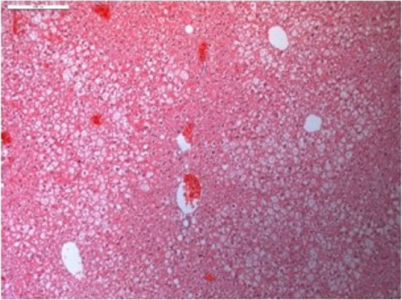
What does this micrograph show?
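Liver parenchyma in which most hepatocytes are filled with clear, rounded cytoplasmic vacuoles. This gives wide zones a pale, foamy look, with less affected pink hepatocytes left mainly near some vessels. Scattered vessels hold red blood cells.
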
